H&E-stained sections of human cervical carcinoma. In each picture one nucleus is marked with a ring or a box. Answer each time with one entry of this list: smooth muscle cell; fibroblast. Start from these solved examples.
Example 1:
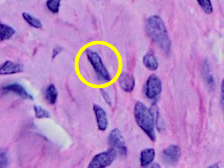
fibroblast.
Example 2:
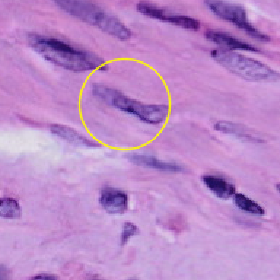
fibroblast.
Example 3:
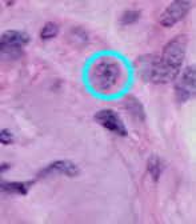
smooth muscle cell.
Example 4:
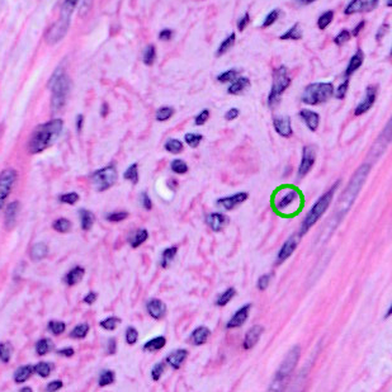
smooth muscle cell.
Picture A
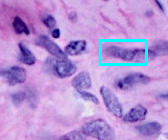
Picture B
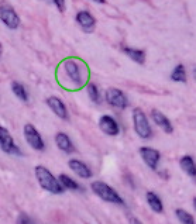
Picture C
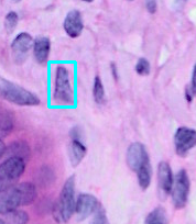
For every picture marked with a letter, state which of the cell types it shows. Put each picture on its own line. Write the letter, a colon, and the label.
A: smooth muscle cell.
B: smooth muscle cell.
C: fibroblast.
